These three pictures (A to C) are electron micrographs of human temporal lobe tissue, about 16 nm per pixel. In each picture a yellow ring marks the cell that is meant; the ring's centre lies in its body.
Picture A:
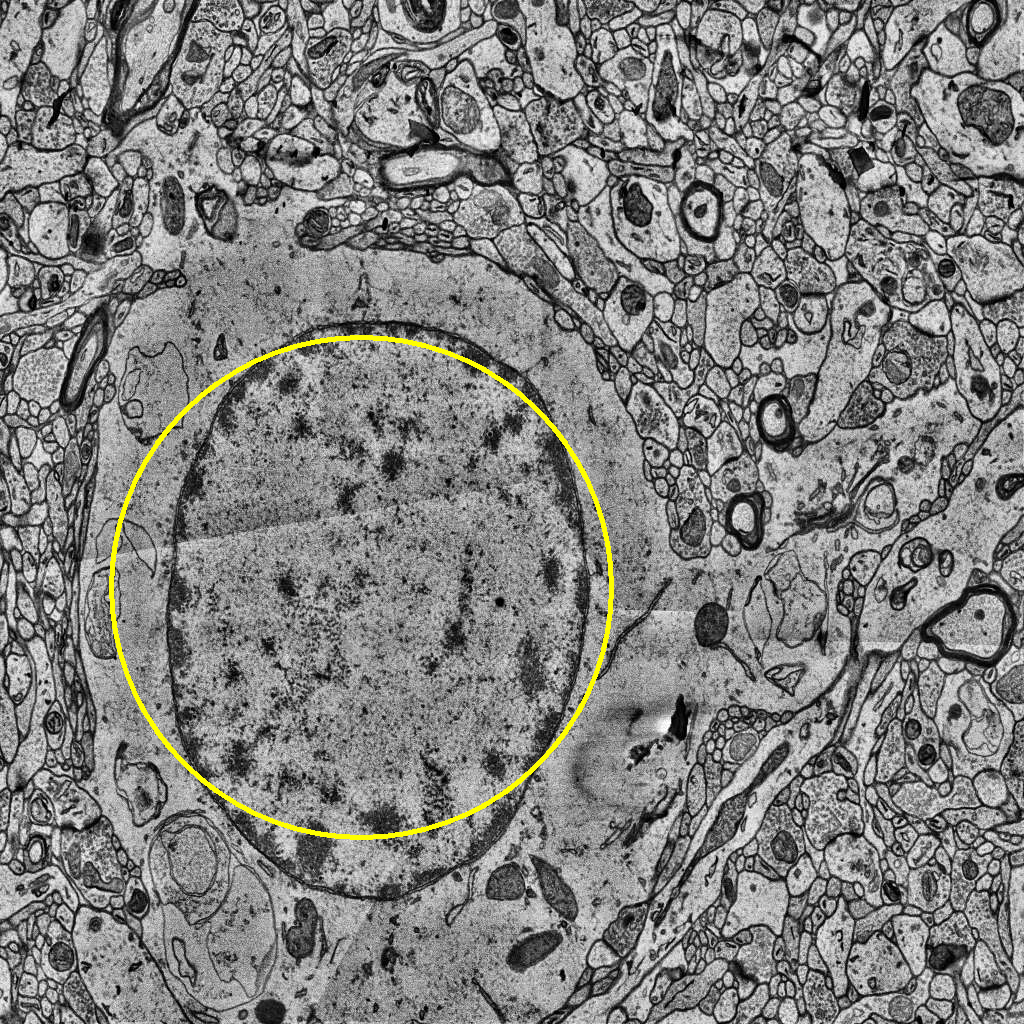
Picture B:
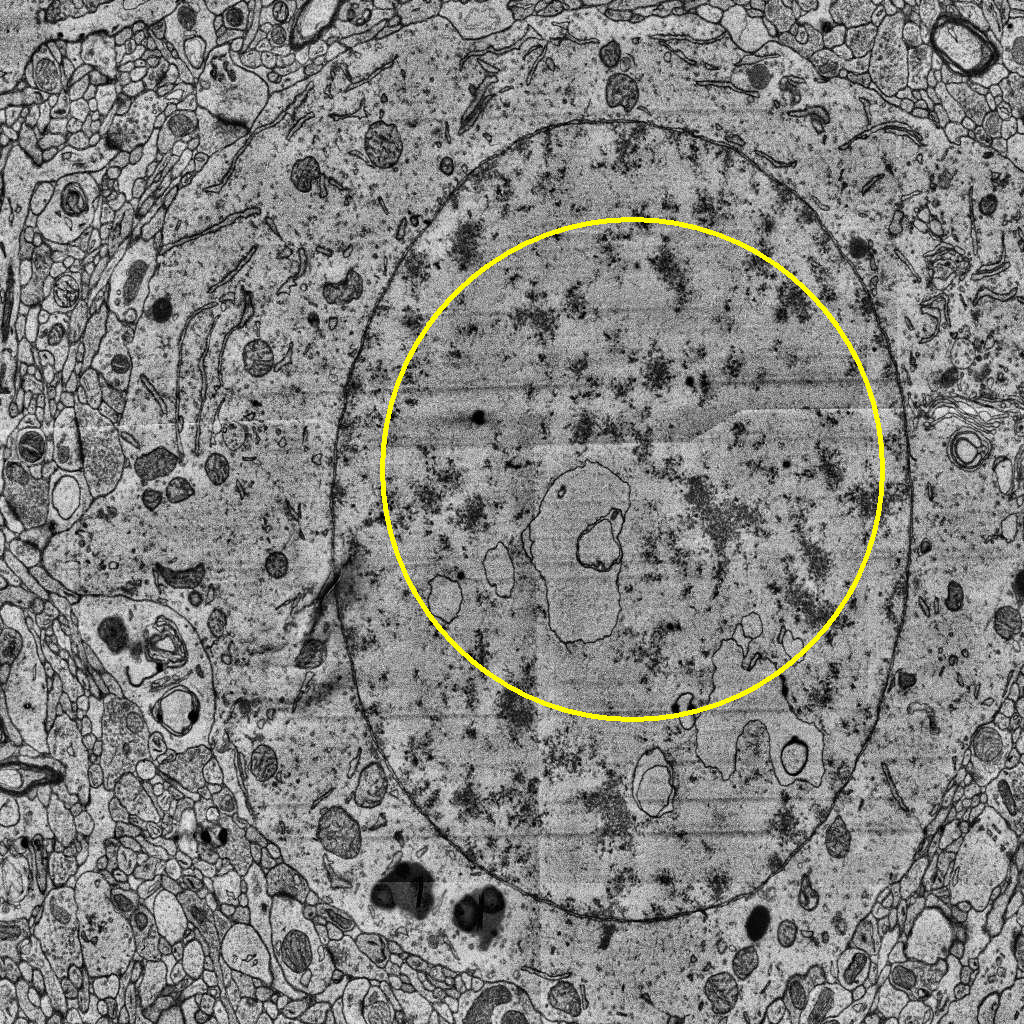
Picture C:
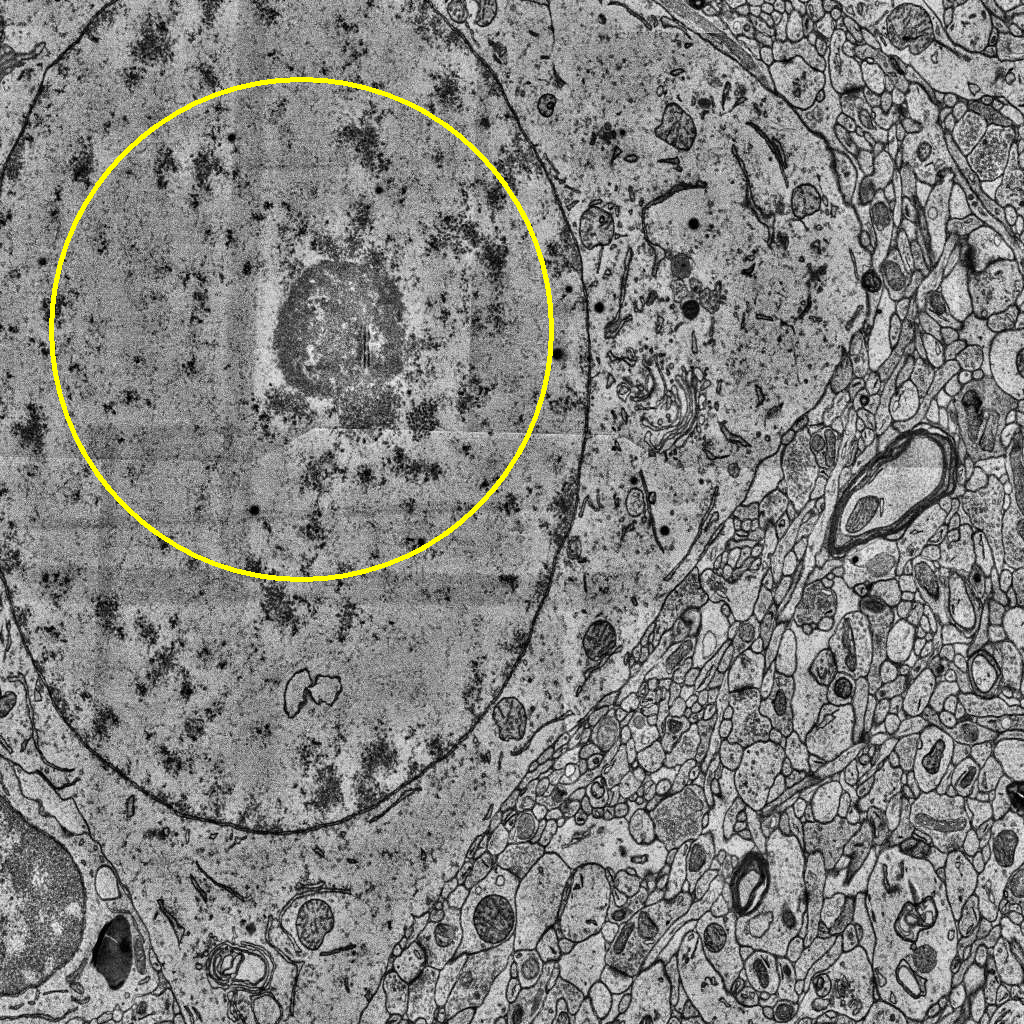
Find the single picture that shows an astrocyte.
The astrocyte is the one in picture A.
